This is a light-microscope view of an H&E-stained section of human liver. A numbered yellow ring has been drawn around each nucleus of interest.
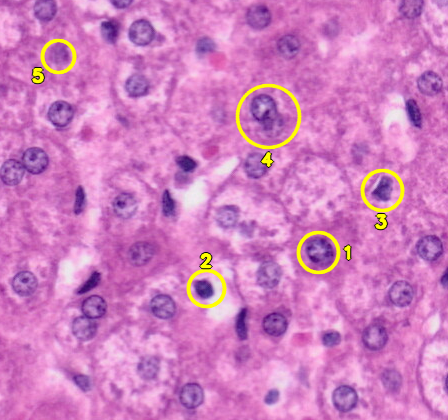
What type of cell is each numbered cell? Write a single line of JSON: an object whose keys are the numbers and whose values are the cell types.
{"1": "hepatocyte", "2": "lymphocyte", "3": "endothelial cell", "4": "hepatocyte", "5": "hepatocyte"}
